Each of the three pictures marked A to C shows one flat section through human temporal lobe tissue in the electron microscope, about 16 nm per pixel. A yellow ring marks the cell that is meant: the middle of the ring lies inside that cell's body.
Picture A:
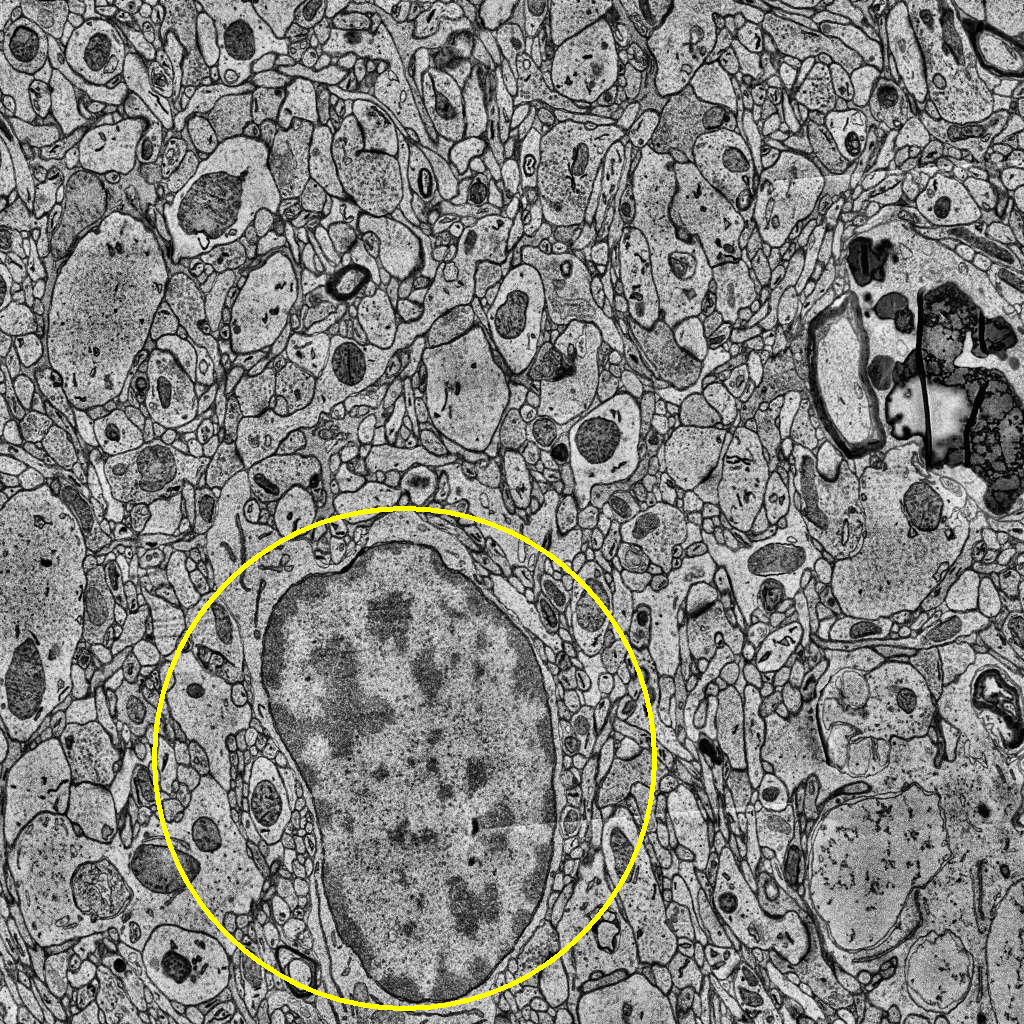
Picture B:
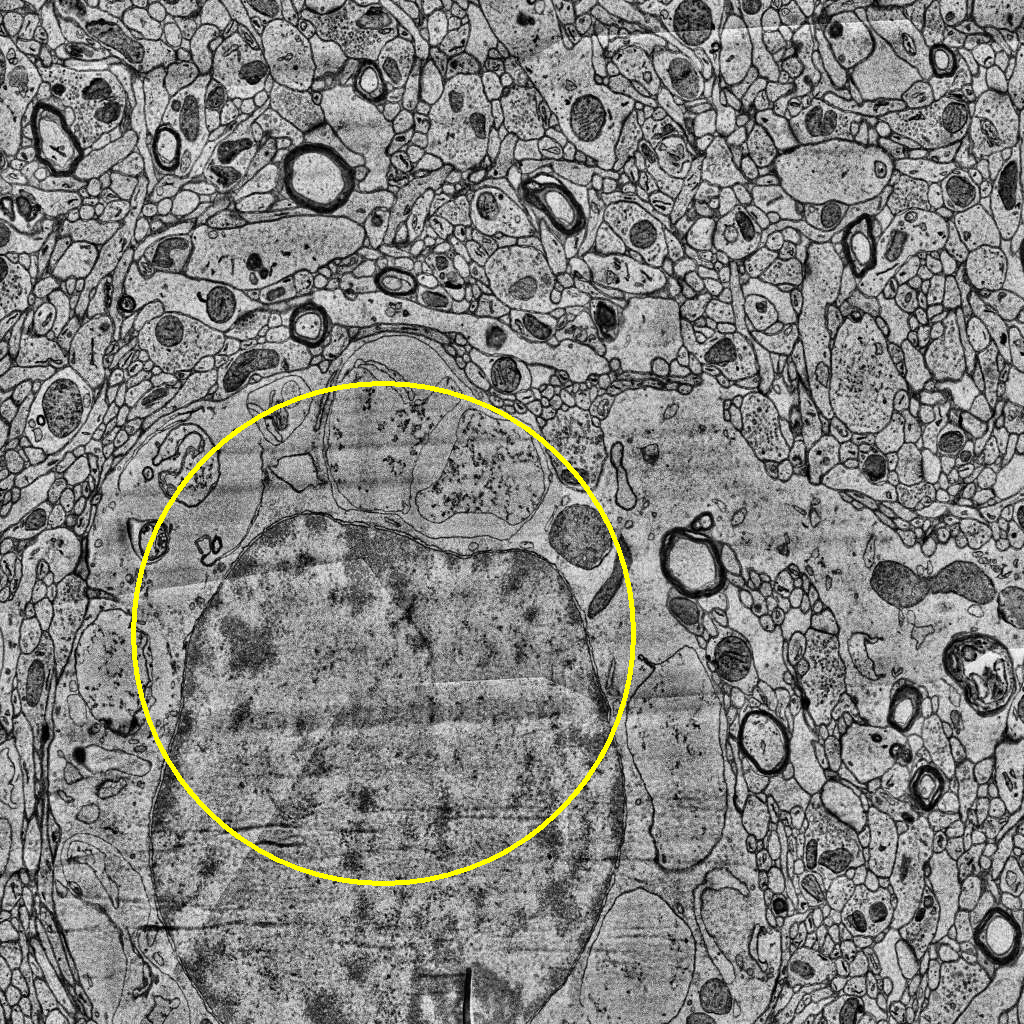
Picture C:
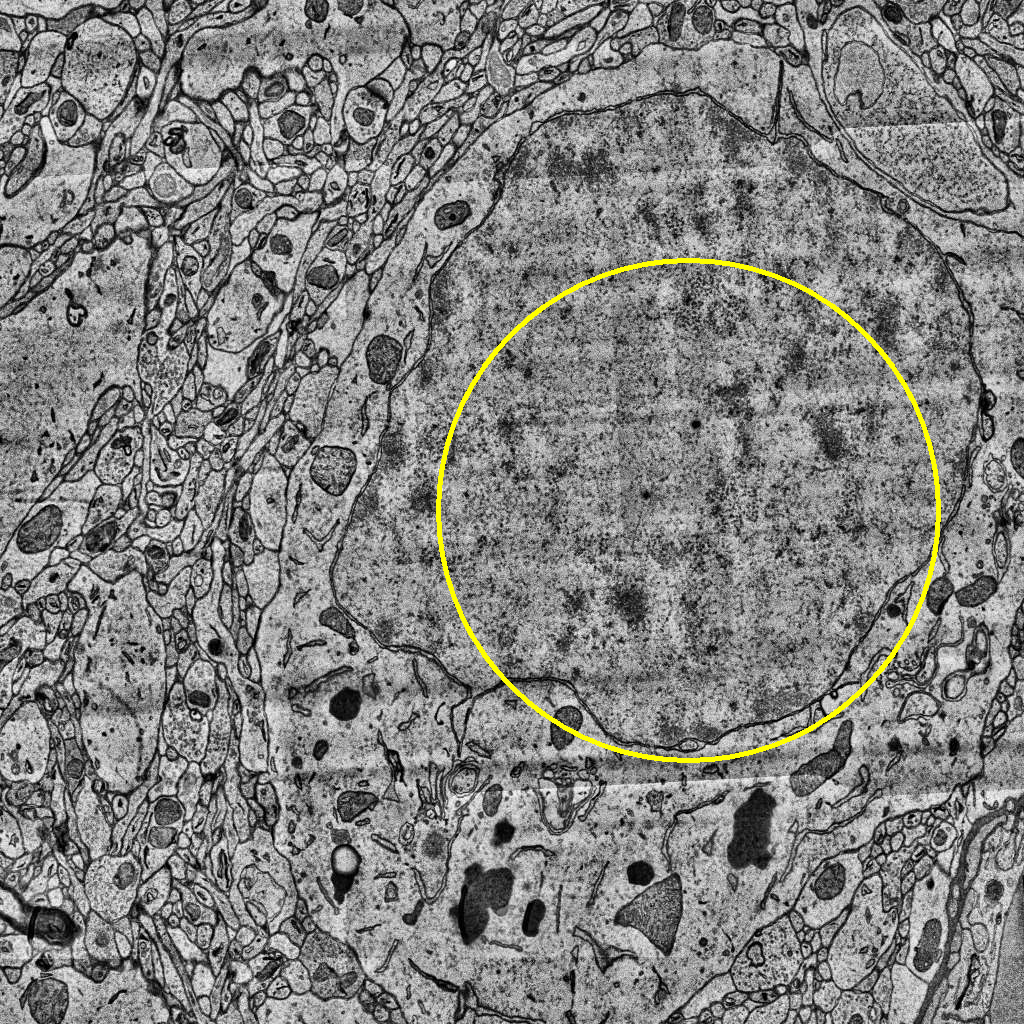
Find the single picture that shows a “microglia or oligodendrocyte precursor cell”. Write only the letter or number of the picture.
A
